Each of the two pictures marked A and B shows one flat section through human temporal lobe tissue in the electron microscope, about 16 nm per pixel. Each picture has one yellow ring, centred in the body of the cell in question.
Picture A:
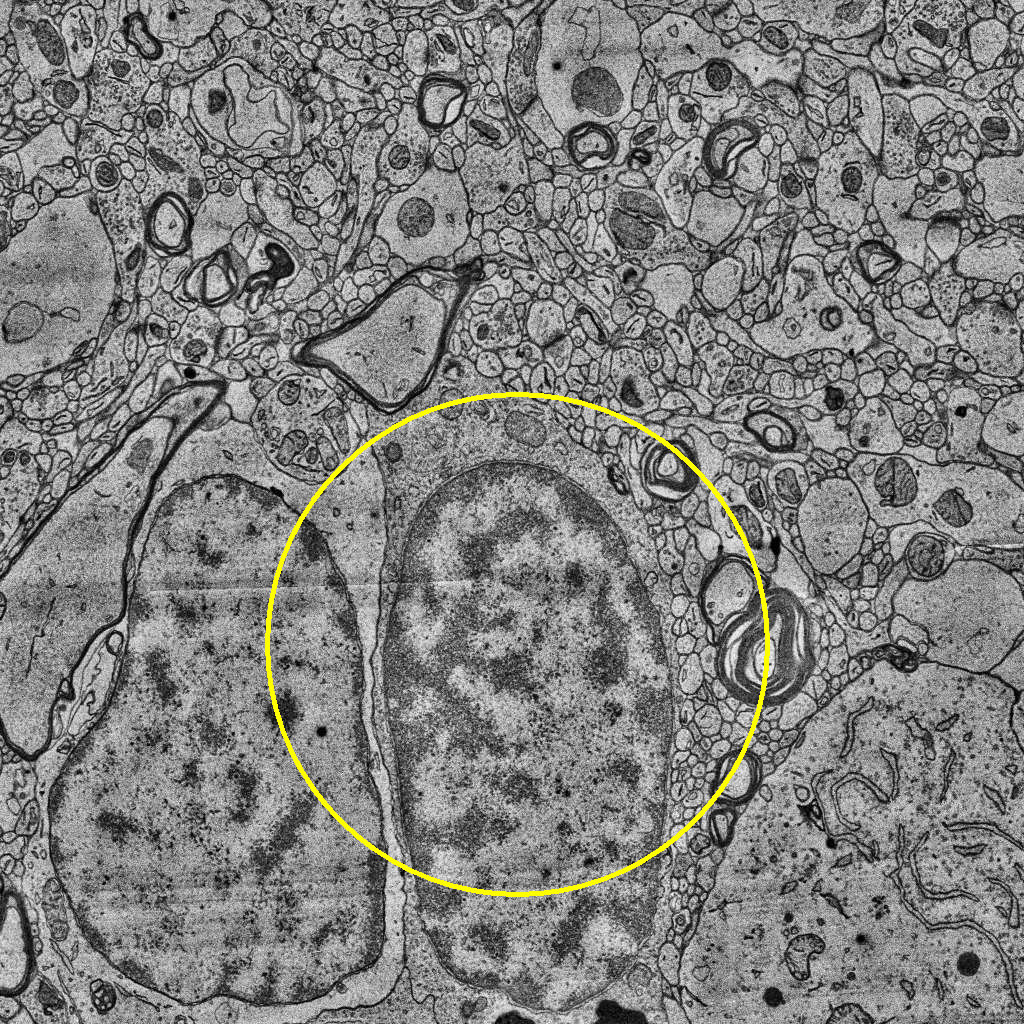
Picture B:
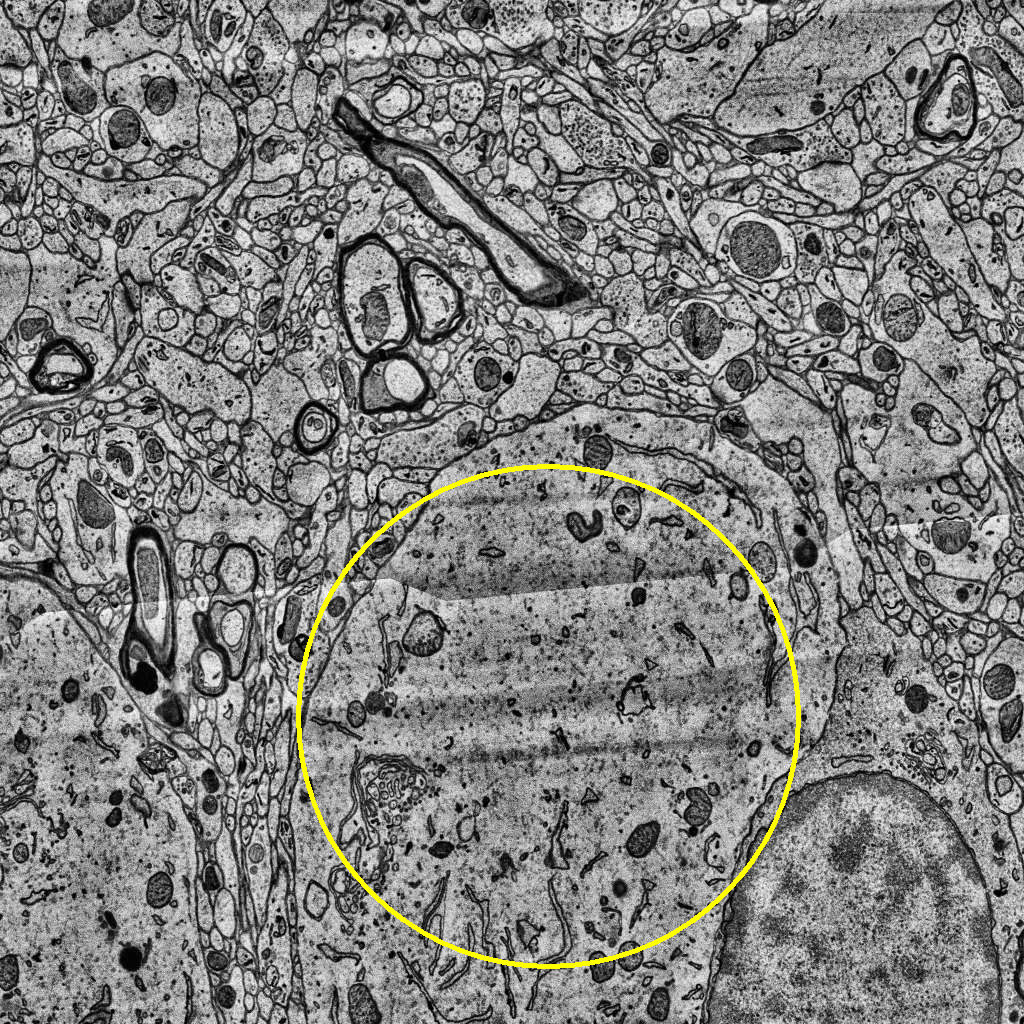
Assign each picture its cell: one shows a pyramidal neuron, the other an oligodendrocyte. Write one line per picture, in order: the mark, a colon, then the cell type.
A: oligodendrocyte
B: pyramidal neuron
